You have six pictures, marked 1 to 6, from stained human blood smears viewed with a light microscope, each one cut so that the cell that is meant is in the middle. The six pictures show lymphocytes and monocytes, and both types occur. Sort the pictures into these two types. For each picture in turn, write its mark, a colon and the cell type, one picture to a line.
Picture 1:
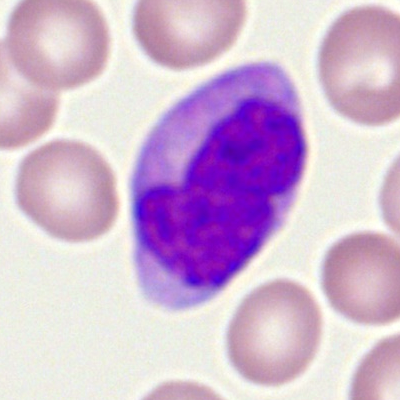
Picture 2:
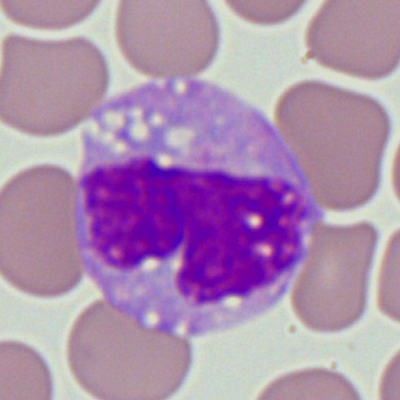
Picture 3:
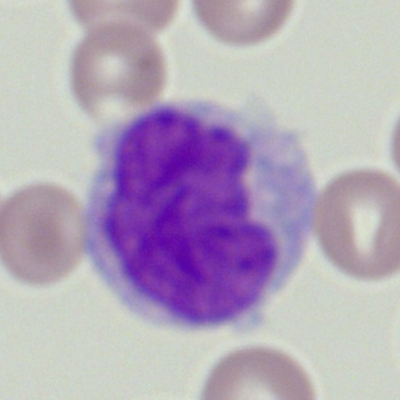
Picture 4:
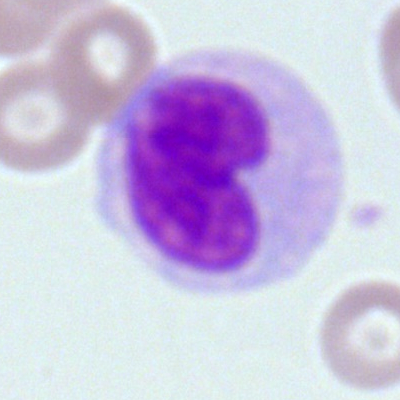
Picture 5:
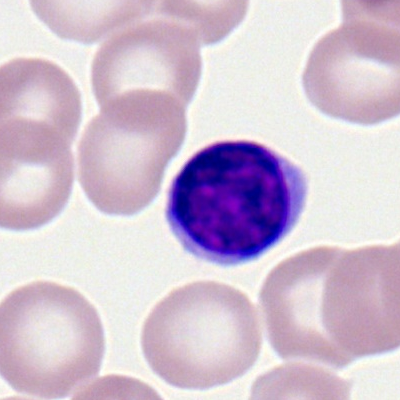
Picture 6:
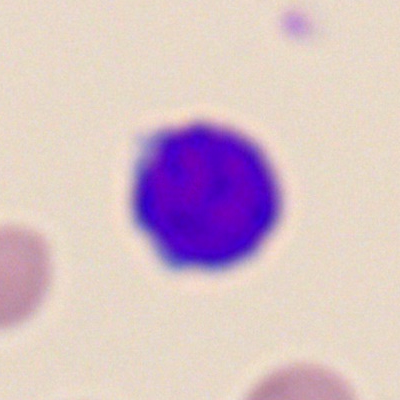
1: monocyte
2: monocyte
3: monocyte
4: monocyte
5: lymphocyte
6: lymphocyte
